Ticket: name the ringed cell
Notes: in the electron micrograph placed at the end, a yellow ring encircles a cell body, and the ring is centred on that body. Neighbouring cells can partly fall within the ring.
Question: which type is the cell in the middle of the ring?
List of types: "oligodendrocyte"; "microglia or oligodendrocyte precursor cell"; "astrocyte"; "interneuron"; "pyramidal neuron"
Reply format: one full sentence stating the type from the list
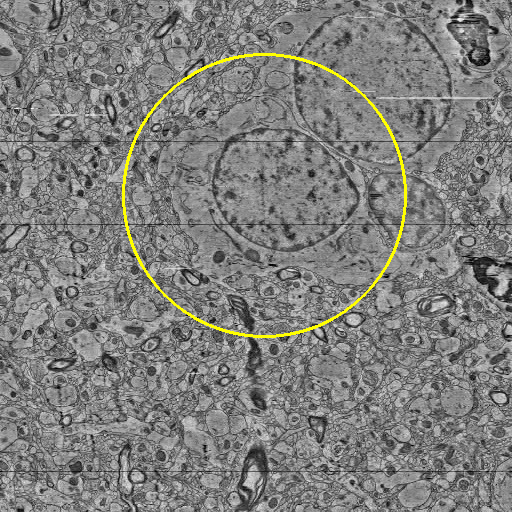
The cell sitting at the centre of the yellow ring is an astrocyte.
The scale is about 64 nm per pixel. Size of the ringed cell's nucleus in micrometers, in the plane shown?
In this plane the nucleus is about 9 micrometres by 8.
